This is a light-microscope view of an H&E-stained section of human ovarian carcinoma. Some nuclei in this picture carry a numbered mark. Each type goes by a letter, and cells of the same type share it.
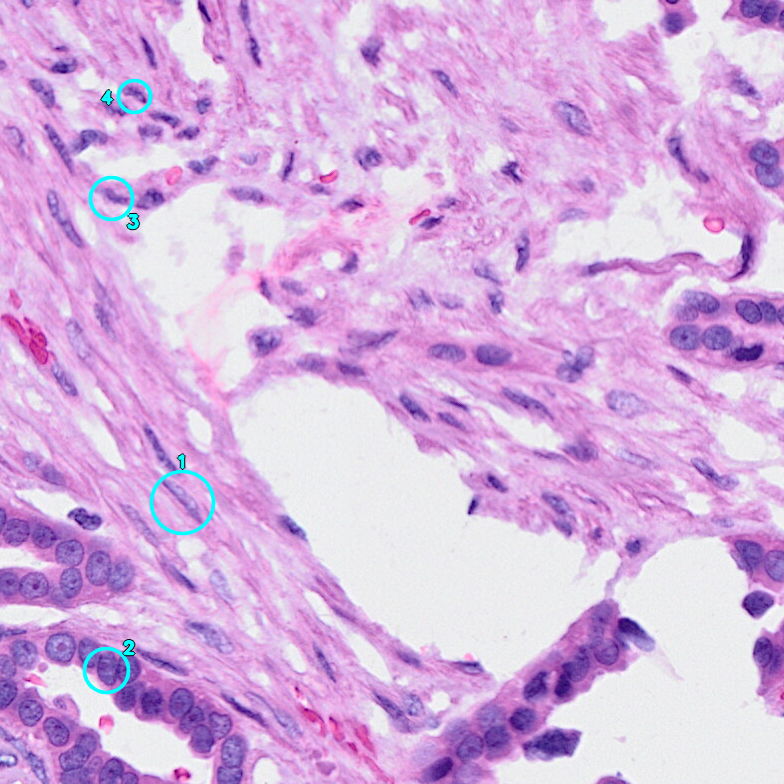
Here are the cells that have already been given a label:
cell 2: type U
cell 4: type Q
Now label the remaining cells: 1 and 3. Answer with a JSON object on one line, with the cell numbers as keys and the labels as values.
{"1": "type Q", "3": "type Q"}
